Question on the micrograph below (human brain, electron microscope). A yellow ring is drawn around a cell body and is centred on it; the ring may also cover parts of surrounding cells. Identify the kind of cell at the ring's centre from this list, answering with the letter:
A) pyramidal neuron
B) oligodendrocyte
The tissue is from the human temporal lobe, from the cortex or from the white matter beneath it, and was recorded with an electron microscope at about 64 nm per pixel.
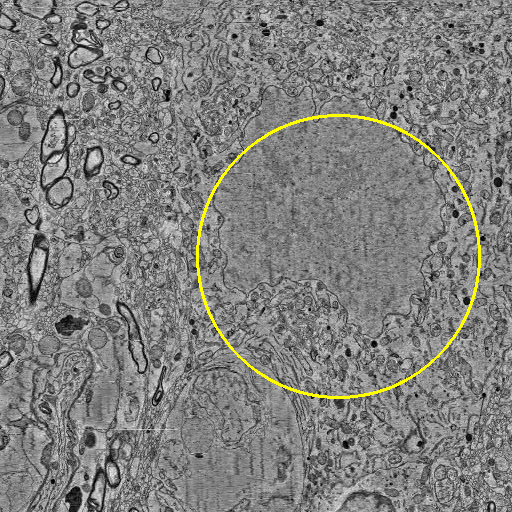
A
